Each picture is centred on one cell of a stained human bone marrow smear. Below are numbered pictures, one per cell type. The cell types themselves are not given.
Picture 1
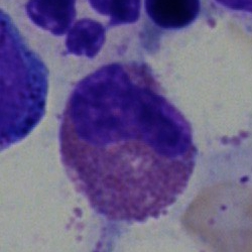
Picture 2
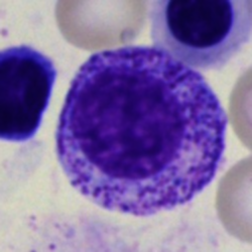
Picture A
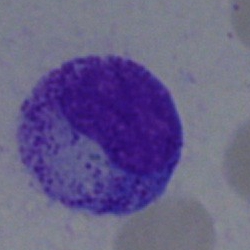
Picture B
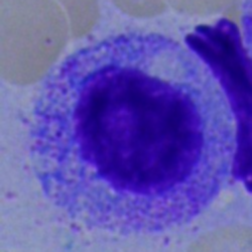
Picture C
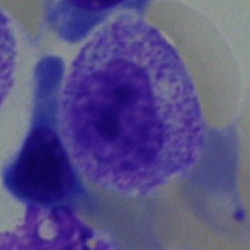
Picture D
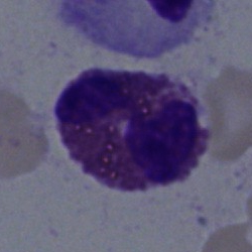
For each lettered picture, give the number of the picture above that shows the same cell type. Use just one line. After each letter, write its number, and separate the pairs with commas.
A 2, B 2, C 2, D 1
